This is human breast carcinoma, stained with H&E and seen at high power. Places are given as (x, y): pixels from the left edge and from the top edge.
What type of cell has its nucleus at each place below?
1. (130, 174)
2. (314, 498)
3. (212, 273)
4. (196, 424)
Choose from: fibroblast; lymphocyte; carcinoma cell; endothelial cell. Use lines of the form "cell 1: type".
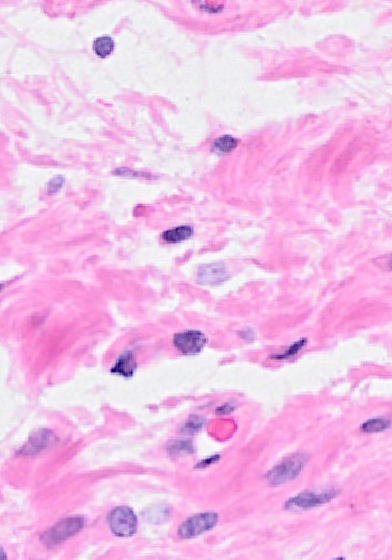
cell 1: fibroblast
cell 2: fibroblast
cell 3: fibroblast
cell 4: endothelial cell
